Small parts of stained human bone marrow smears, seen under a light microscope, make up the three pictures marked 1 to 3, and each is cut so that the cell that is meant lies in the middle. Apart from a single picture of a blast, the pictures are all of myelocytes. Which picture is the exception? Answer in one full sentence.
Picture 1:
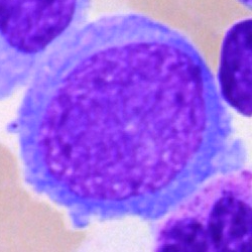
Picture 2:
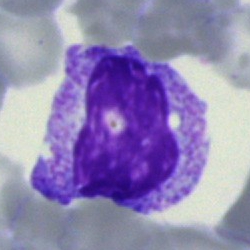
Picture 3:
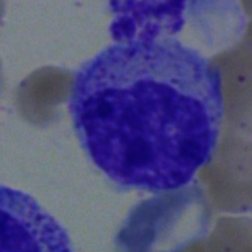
It is picture 1 that shows the blast.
